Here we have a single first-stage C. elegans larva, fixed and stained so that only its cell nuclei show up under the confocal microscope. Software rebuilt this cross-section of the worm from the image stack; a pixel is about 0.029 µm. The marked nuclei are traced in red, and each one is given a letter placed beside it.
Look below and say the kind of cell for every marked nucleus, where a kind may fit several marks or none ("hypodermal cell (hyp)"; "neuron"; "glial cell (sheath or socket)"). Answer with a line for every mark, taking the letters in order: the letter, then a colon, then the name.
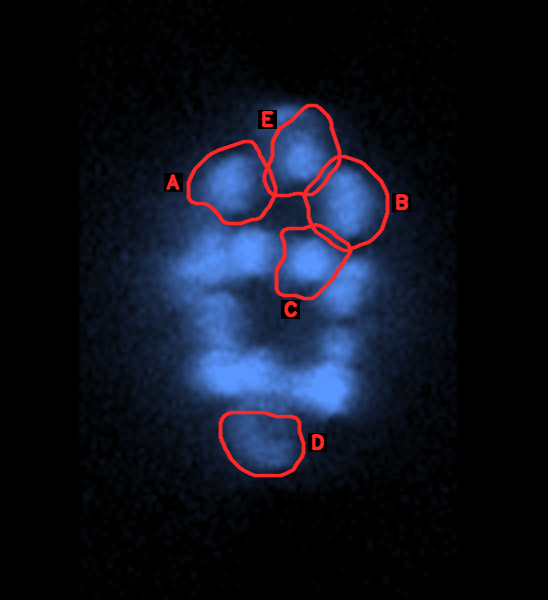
A: glial cell (sheath or socket)
B: neuron
C: neuron
D: hypodermal cell (hyp)
E: neuron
